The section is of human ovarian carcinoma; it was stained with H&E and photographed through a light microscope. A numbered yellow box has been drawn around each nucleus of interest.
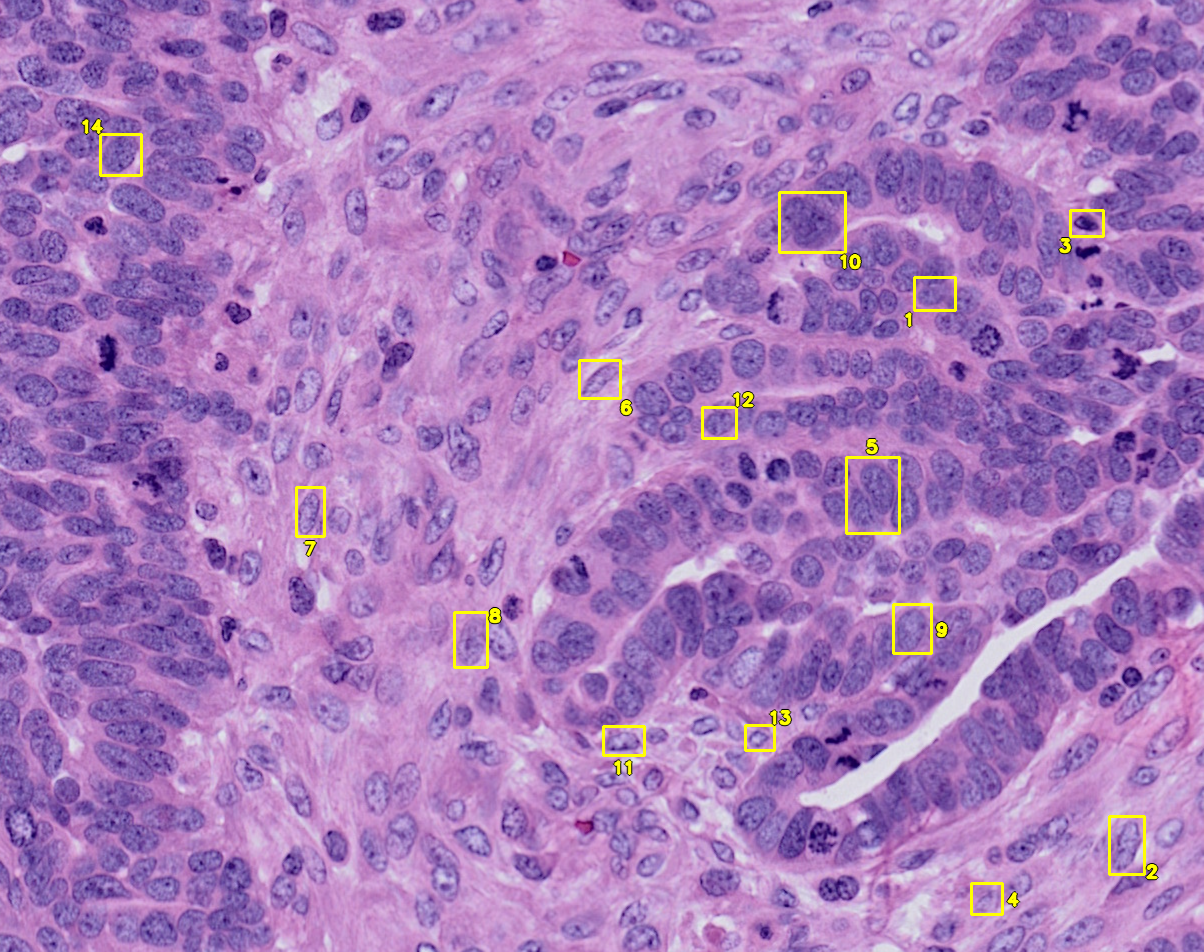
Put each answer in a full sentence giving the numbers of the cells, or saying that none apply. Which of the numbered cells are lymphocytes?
Only the cell numbered 3 is a lymphocyte, and the others are something else.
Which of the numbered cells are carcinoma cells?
The cells numbered 1, 5, 9, 10, 12 and 14 are of the kind known as carcinoma cells.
